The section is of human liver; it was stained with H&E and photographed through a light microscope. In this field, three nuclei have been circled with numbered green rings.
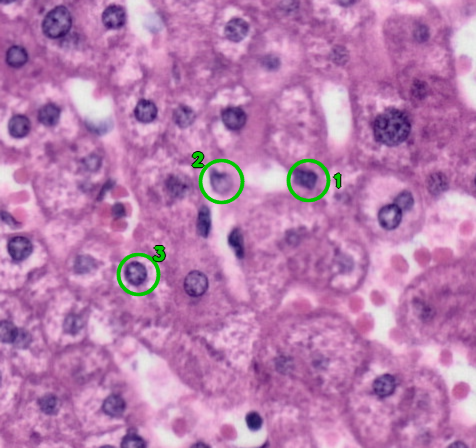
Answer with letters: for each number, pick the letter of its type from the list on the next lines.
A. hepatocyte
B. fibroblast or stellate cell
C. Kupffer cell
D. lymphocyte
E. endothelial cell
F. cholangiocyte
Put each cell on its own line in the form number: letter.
1: B
2: C
3: A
